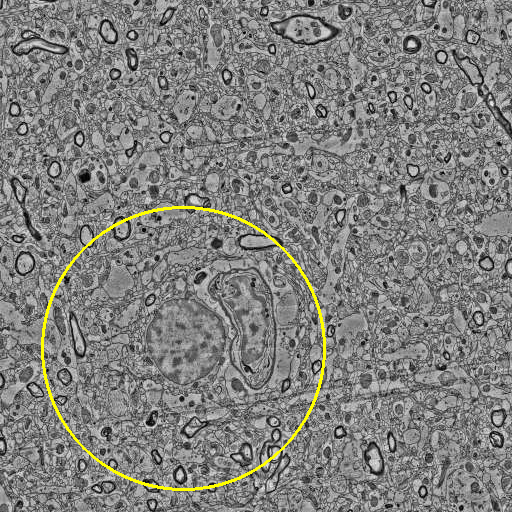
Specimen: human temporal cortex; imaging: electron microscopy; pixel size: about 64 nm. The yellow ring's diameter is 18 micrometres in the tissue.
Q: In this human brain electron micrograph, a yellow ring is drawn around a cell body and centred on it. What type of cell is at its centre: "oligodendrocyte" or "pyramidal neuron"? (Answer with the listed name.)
oligodendrocyte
